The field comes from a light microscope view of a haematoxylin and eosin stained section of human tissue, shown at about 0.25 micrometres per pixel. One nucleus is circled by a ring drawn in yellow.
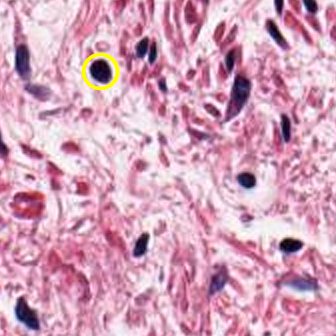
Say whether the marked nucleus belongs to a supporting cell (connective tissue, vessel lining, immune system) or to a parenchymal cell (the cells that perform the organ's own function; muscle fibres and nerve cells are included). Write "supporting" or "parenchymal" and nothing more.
supporting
